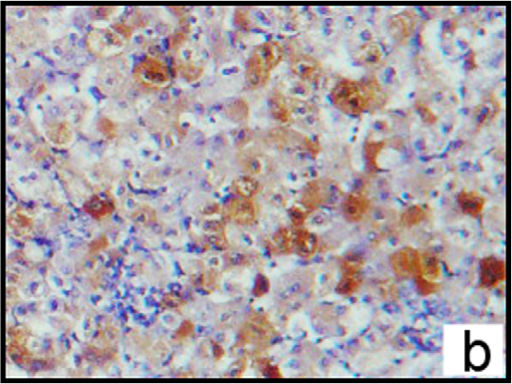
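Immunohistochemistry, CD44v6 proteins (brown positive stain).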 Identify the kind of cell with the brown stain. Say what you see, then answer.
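The brown-stained cells are large and polygonal. Many smaller blue nuclei lie between the large cells.
Hence: hepatocytes.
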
